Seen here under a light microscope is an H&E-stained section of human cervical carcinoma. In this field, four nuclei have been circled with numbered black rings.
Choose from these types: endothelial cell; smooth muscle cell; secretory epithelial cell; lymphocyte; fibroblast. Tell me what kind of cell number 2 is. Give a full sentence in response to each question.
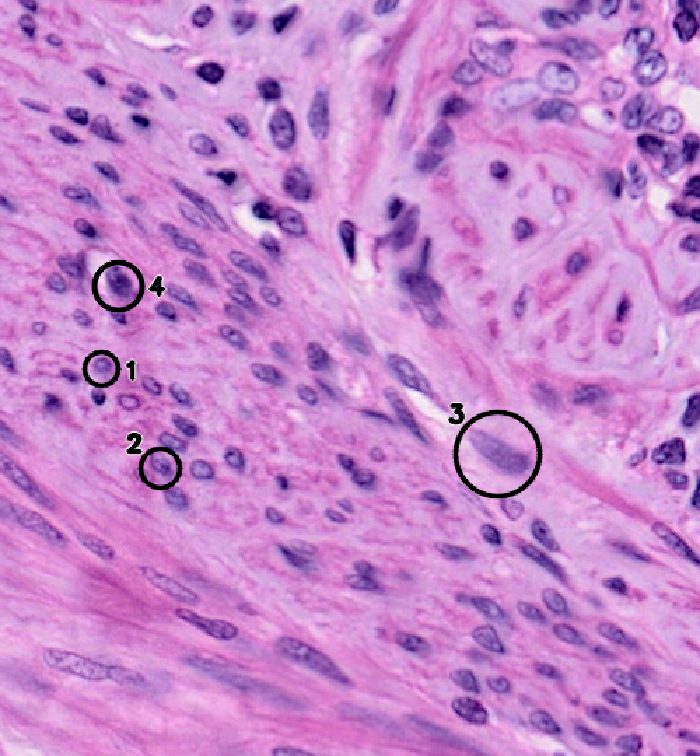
Identified by the number 2, the cell is a smooth muscle cell.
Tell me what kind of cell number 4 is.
Number 4 is placed on a lymphocyte here.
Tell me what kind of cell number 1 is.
The cell pointed out by number 1 is a smooth muscle cell.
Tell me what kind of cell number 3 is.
The cell referred to as 3 is a fibroblast.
